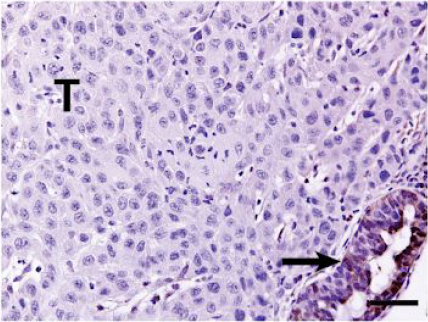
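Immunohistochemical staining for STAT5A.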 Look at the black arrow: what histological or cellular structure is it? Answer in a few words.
Adjacent glands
